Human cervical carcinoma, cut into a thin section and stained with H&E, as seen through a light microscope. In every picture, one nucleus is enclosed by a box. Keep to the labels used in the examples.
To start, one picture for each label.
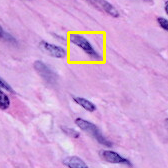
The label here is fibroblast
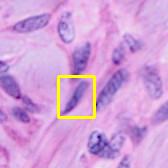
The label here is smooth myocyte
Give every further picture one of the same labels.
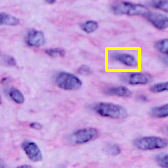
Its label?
smooth myocyte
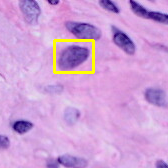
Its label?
fibroblast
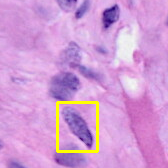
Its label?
fibroblast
